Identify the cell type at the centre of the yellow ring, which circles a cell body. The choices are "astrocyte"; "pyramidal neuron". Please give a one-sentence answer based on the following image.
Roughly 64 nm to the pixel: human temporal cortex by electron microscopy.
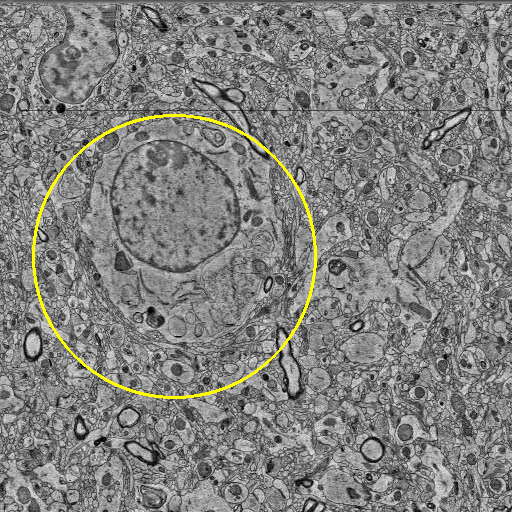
The cell marked by the ring is an astrocyte.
